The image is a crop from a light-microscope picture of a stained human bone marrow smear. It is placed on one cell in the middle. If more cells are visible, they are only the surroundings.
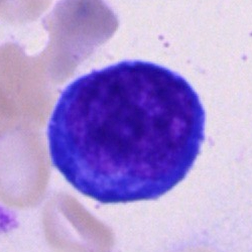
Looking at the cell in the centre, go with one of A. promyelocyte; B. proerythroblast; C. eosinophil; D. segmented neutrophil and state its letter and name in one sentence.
The right choice is option B: the cell in the middle is a proerythroblast.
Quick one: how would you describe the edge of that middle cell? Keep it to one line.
A smooth, projection-free outline is what this cell has.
